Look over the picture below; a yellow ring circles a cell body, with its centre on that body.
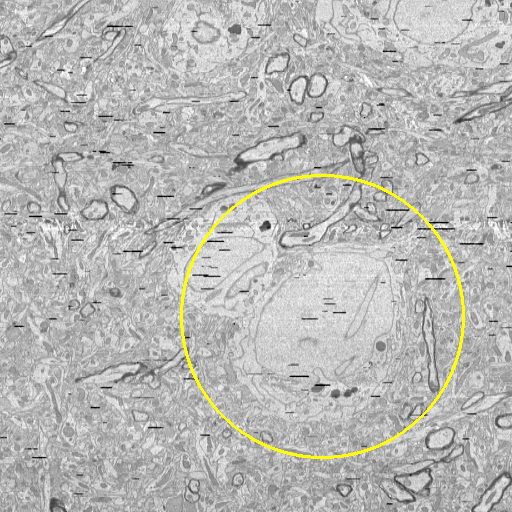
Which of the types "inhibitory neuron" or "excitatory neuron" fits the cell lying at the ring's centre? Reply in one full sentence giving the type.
The picture shows an inhibitory neuron at the centre of the yellow ring.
